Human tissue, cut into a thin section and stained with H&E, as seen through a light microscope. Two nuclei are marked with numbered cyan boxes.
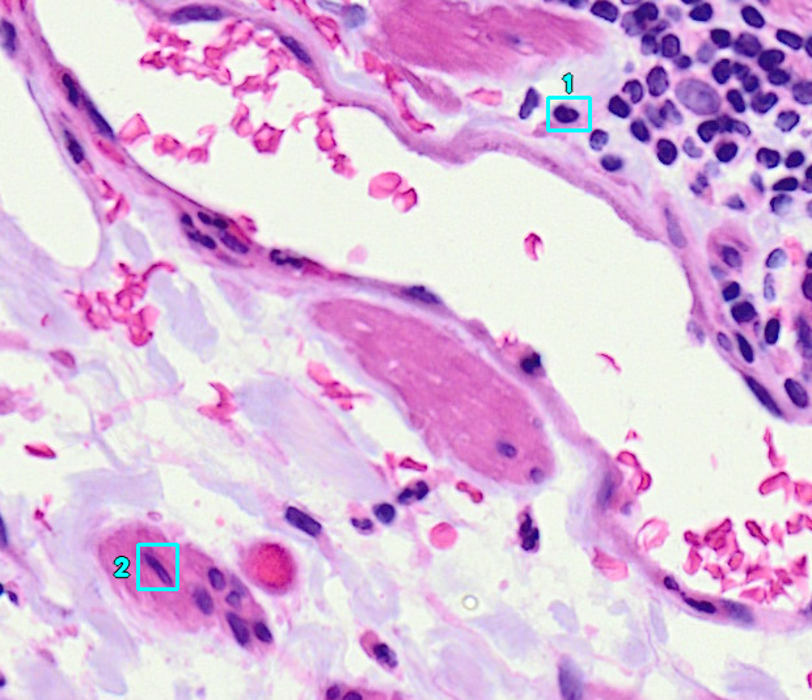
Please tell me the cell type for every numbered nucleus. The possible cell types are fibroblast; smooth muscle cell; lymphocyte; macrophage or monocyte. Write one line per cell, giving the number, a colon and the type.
1: lymphocyte
2: smooth muscle cell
